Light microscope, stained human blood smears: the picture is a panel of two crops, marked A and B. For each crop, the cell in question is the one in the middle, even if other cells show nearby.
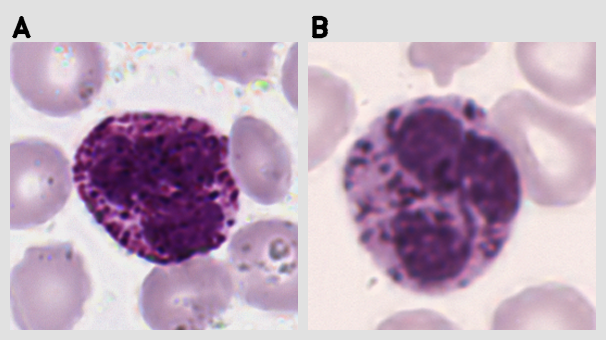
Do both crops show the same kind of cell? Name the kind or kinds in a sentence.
Yes, both crops show basophils, with no exception.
